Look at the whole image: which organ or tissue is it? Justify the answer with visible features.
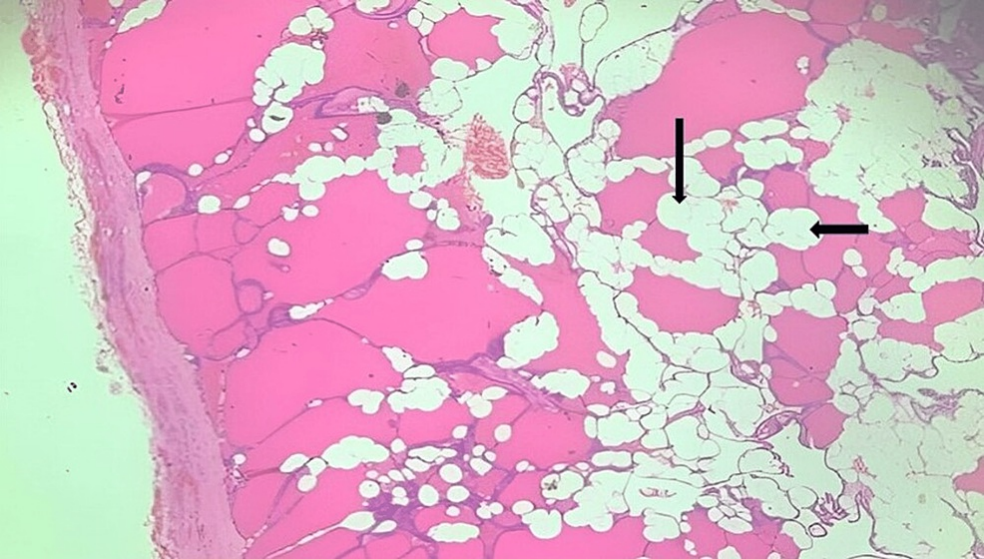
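Large rounded spaces are filled with homogeneous pink material. The pink-filled spaces are separated by thin septa lined by flattened cells.
Hence: colloid-filled thyroid follicles.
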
